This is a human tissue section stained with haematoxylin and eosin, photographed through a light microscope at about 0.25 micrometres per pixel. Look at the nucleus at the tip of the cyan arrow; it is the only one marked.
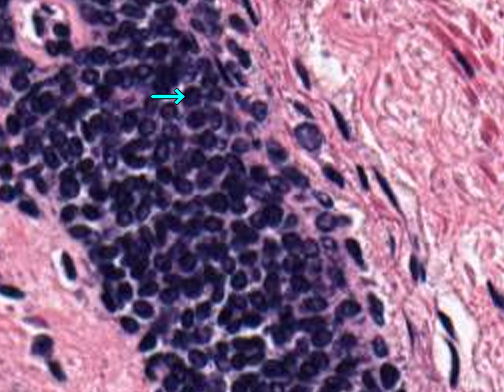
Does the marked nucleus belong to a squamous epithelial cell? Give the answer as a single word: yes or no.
no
